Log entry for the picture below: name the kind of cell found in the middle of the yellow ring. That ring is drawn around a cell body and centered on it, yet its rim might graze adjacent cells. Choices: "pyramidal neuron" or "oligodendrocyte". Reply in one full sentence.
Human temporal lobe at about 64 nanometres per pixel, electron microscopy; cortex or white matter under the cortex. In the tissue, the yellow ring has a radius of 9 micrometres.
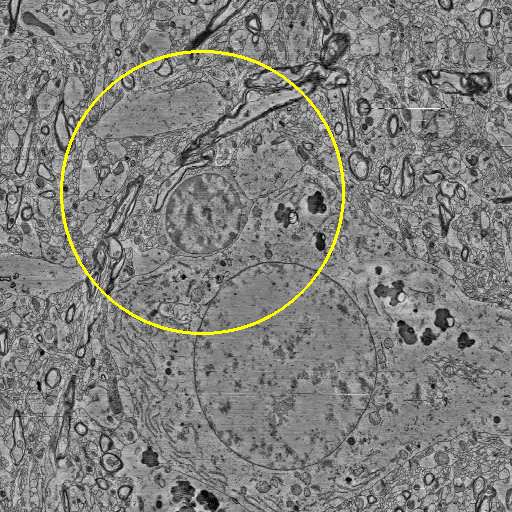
The cell in the middle of the yellow ring in this picture is an oligodendrocyte.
